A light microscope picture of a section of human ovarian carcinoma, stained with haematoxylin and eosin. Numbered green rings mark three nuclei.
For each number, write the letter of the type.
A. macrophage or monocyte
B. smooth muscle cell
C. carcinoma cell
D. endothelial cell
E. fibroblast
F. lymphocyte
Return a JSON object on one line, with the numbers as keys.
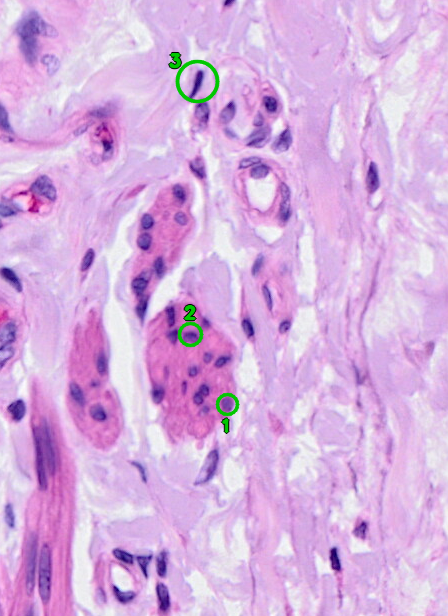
{"1": "B", "2": "B", "3": "E"}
